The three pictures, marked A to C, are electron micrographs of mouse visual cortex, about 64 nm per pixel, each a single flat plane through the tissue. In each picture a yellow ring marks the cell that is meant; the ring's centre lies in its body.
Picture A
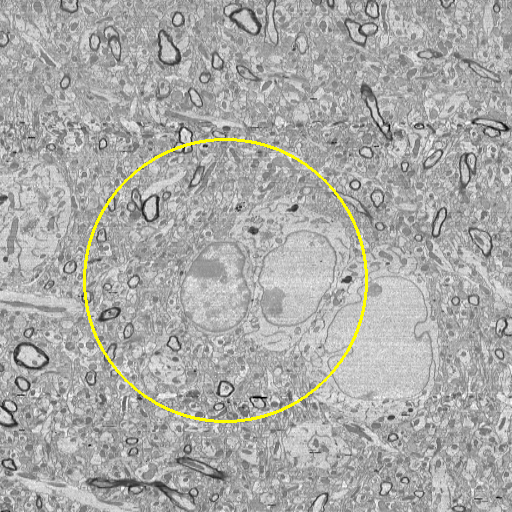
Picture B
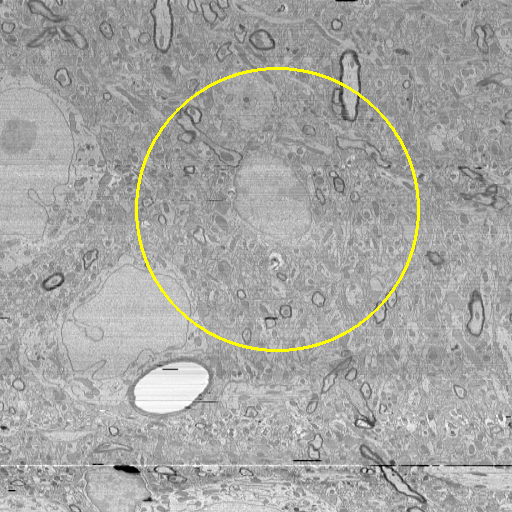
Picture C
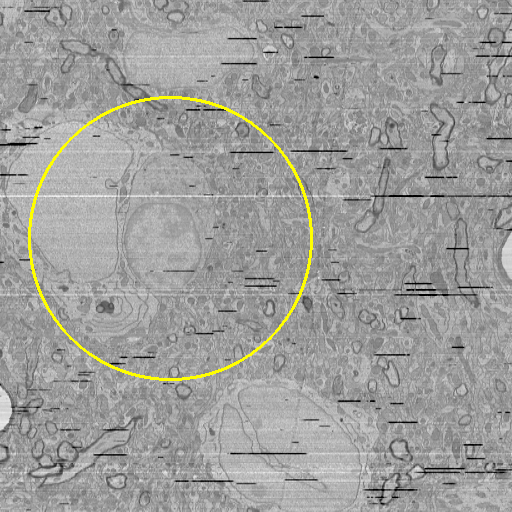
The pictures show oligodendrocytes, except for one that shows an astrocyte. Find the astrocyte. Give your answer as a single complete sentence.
The astrocyte is the one in picture B.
